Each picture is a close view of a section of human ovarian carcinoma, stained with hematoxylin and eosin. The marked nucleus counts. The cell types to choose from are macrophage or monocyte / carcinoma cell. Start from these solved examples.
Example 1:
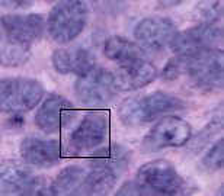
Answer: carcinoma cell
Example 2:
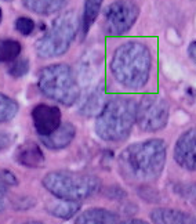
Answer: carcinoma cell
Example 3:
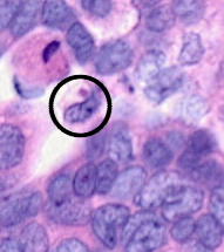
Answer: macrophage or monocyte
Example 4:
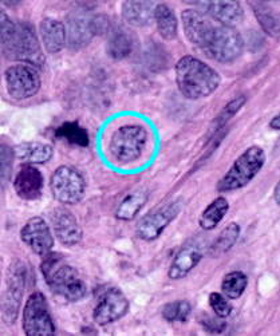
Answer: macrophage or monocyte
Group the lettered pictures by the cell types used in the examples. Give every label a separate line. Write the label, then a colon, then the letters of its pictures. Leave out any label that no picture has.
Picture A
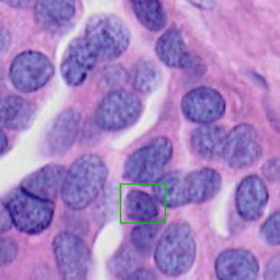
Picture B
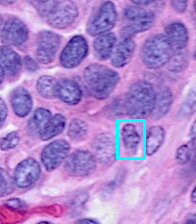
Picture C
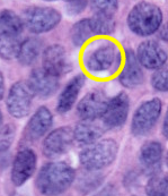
macrophage or monocyte: B
carcinoma cell: A, C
